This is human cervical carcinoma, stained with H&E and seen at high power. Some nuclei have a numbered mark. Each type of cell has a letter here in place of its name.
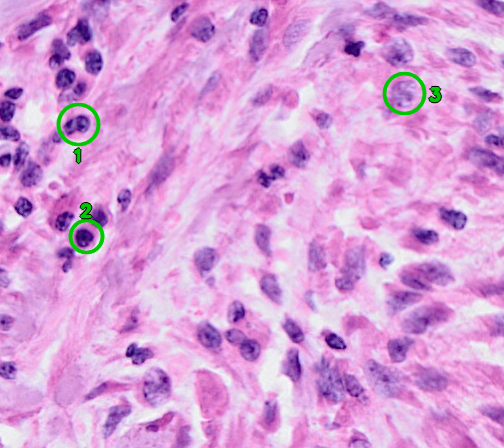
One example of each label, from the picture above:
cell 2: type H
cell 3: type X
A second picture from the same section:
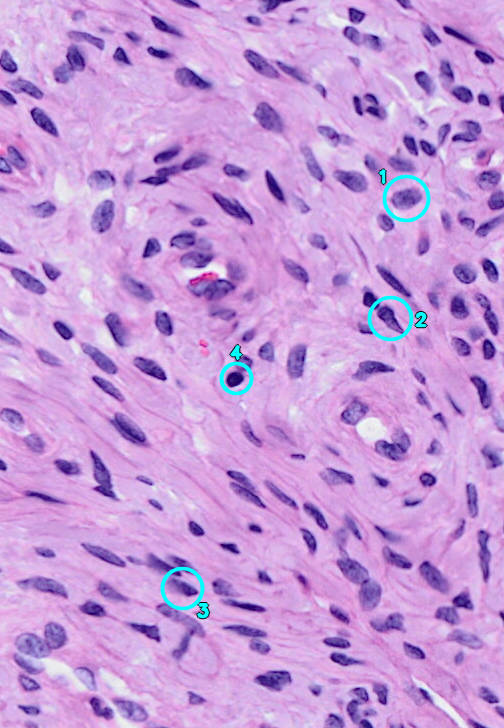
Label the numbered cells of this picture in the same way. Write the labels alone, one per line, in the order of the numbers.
type X
type X
type X
type H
